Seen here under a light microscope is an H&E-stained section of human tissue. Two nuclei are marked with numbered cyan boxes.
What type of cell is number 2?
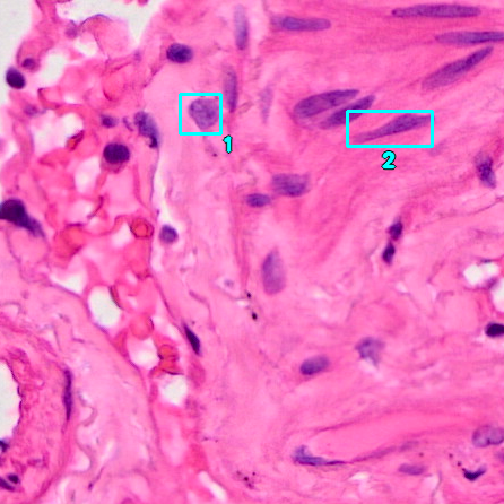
smooth muscle cell or pericyte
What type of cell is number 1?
fibroblast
